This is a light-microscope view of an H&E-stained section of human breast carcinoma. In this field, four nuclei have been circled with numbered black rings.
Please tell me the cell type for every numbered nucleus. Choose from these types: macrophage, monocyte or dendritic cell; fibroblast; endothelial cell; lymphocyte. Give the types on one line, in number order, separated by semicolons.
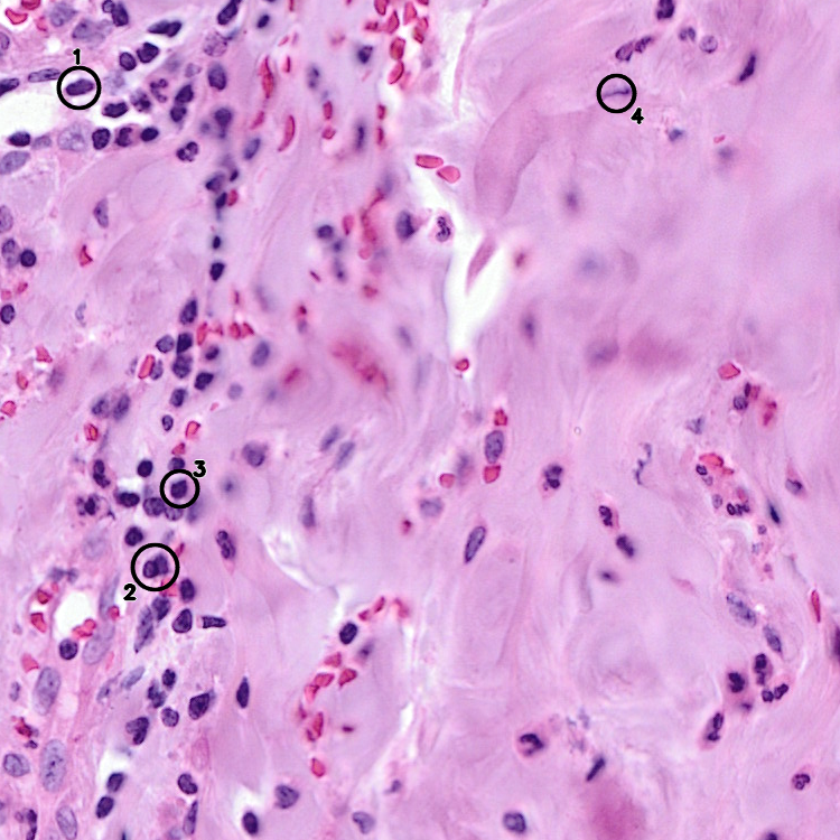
lymphocyte; lymphocyte; lymphocyte; fibroblast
